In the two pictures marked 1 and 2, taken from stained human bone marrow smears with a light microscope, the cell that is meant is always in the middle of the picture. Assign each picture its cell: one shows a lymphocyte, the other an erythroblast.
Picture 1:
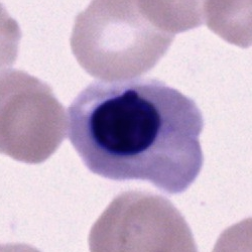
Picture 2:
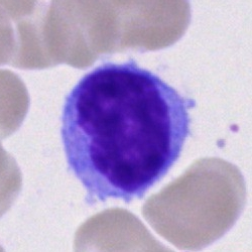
1: erythroblast
2: lymphocyte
